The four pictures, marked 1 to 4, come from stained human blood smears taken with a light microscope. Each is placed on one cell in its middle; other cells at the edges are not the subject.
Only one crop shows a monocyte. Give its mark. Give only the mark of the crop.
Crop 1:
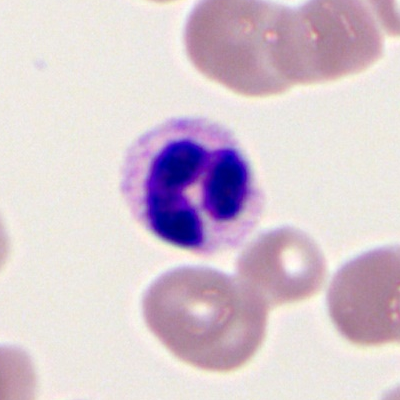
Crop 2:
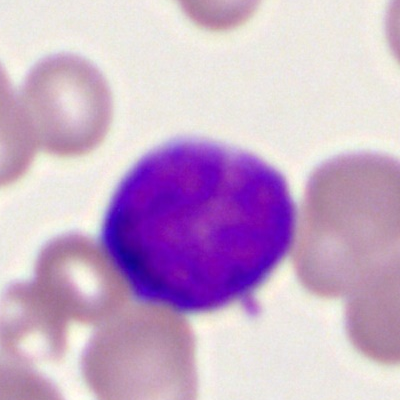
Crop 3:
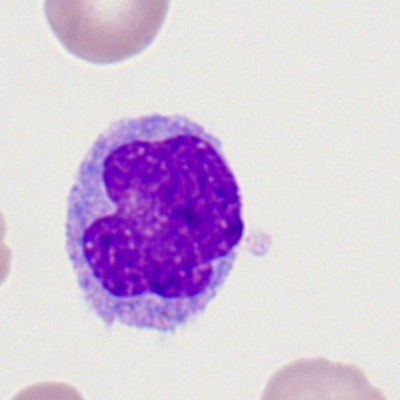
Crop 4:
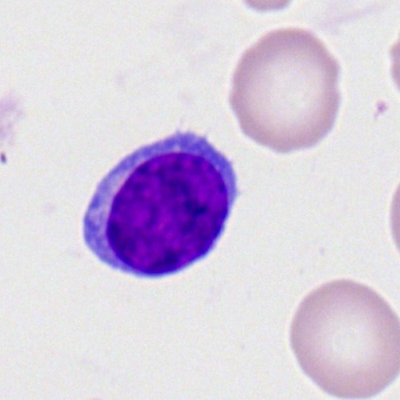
3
